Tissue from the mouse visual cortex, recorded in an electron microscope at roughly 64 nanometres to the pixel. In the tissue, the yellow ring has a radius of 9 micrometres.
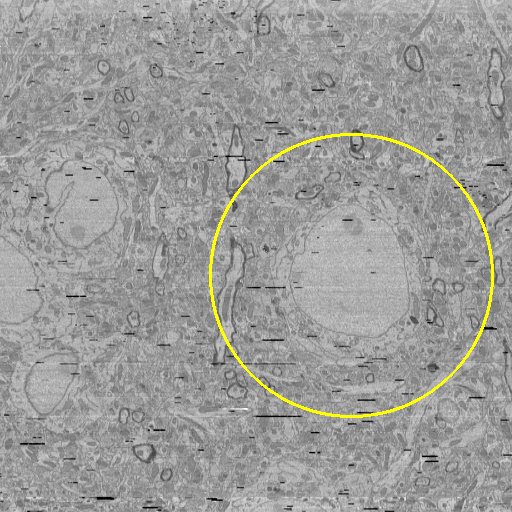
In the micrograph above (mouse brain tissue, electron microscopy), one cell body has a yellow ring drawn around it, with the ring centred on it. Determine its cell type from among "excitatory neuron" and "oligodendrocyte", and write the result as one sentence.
The cell whose body is ringed is an excitatory neuron.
